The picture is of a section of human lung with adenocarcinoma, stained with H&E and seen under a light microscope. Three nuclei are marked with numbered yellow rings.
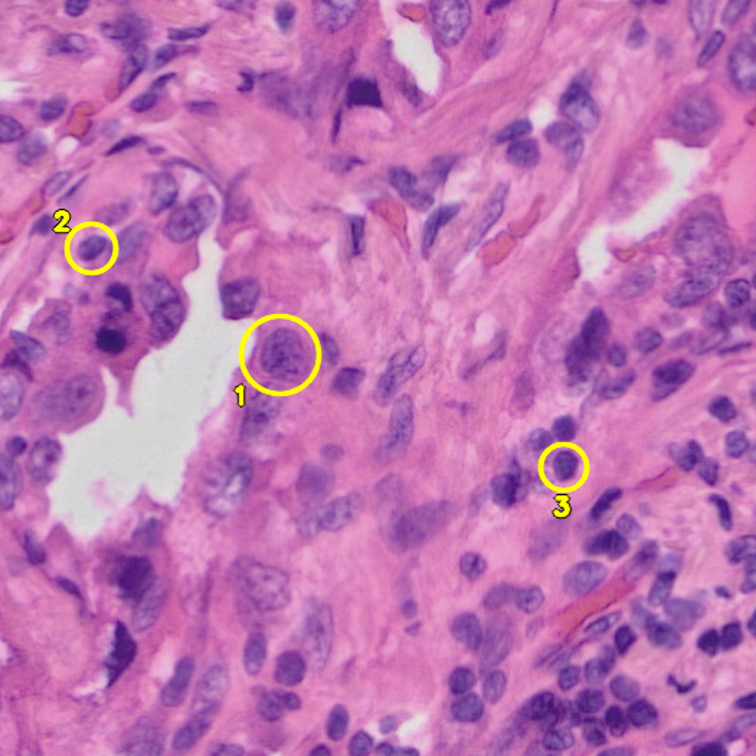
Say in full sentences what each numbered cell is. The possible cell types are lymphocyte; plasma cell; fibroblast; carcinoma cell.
Cell 1 is a carcinoma cell, cell 2 is a lymphocyte and cell 3 is a lymphocyte.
